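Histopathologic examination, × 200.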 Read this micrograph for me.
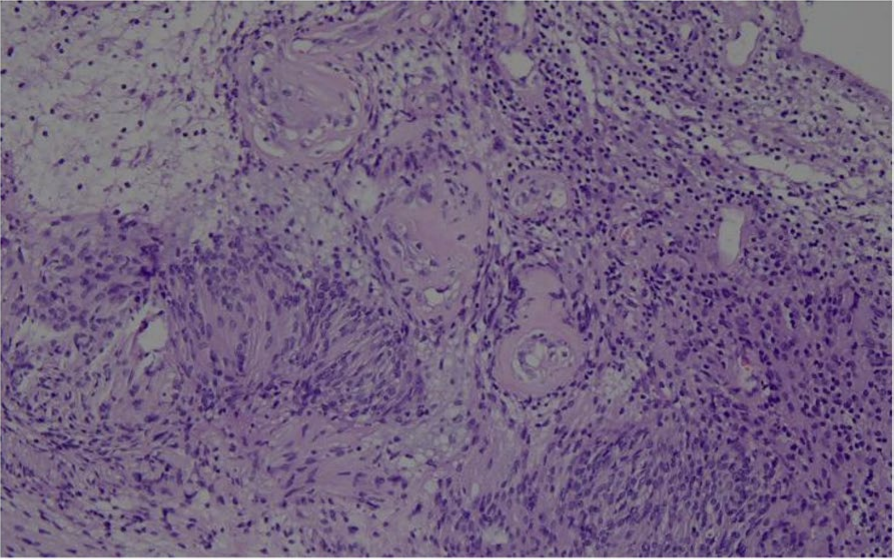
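This is a benign schwannoma made of spindle-shaped tumour cells with elongated, dark purple nuclei and pale pink cytoplasm. The cells run in interlacing fascicles and whorls, and in places their nuclei line up in rows. Several vessels with thick, glassy pink walls lie among the fascicles. A loose, pale, sparsely cellular area with scattered small nuclei sits in the upper left, beside the denser cellular areas.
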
